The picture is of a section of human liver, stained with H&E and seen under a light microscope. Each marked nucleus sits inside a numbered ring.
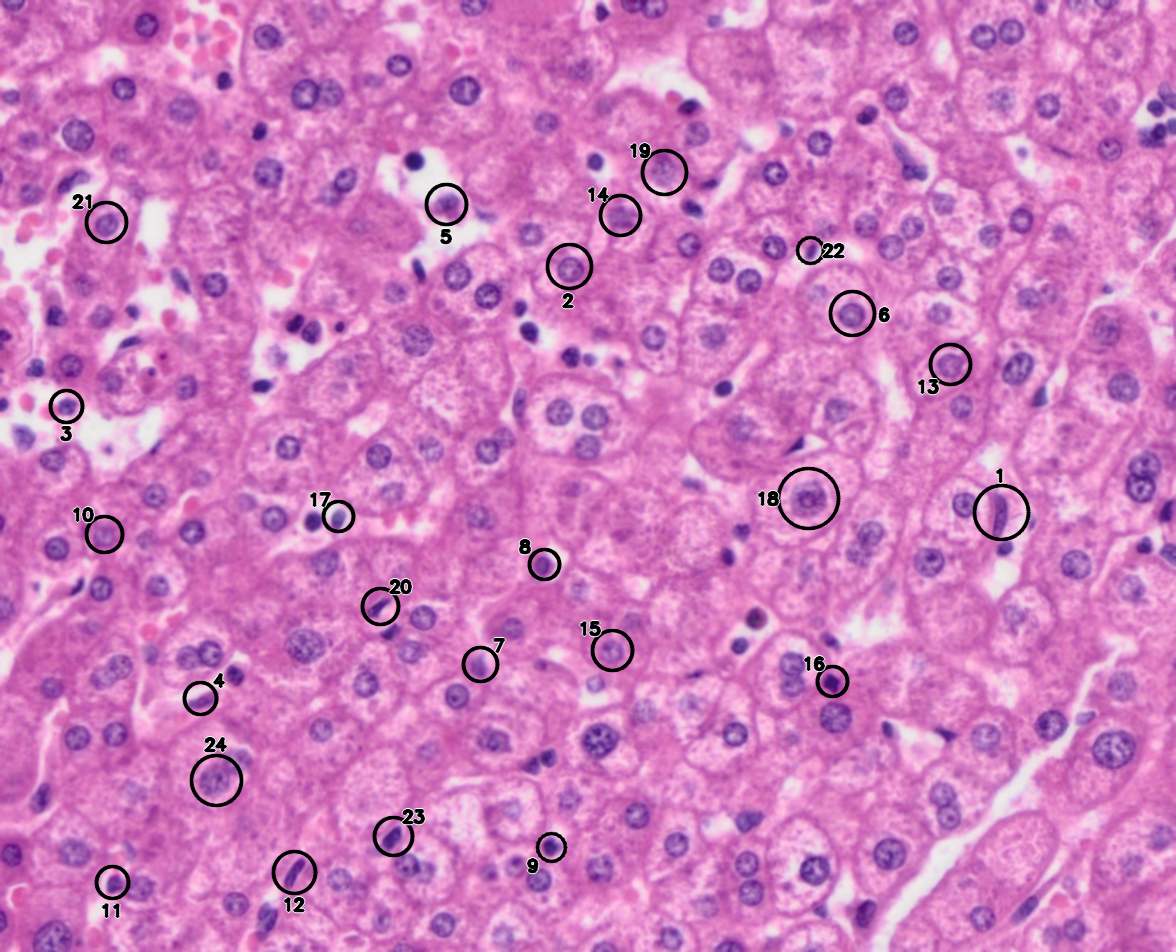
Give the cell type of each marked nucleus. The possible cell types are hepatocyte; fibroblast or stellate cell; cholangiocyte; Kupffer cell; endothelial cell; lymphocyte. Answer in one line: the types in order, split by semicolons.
Kupffer cell; hepatocyte; lymphocyte; Kupffer cell; Kupffer cell; hepatocyte; endothelial cell; Kupffer cell; lymphocyte; hepatocyte; lymphocyte; lymphocyte; hepatocyte; hepatocyte; hepatocyte; fibroblast or stellate cell; lymphocyte; hepatocyte; hepatocyte; endothelial cell; hepatocyte; lymphocyte; fibroblast or stellate cell; hepatocyte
